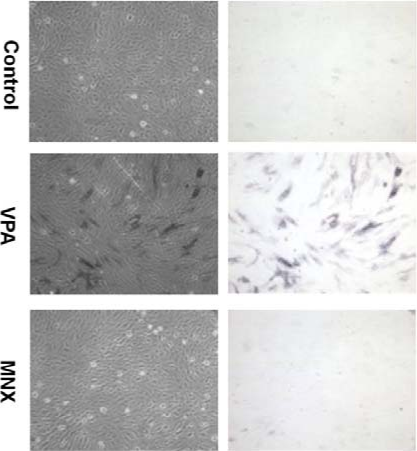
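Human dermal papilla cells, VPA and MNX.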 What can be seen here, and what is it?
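In the bright-field views the cells form a dense, confluent sheet of elongated, spindle-shaped cells lying roughly side by side. A few small, round, bright cells sit scattered on top of the sheet. In the stained dishes most of the field stays pale, while in the middle row a number of elongated cells are stained dark blue-purple, scattered singly across the field. In that same row some darker cells can also be picked out in the bright-field view.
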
